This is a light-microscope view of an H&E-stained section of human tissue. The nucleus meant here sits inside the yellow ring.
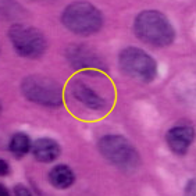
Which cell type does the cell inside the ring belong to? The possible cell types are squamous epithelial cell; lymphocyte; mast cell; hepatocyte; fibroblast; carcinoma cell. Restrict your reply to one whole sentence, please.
The identity of the cell inside the ring is that of a squamous epithelial cell.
